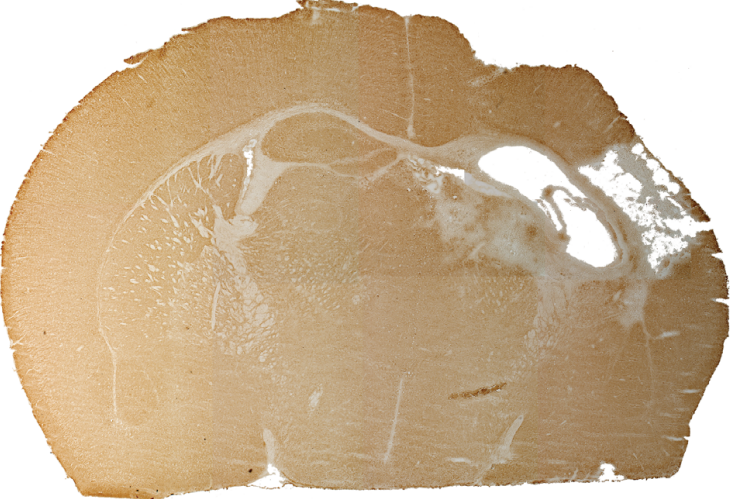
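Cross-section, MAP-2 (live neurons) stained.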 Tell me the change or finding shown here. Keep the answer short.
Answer: Brain damage.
